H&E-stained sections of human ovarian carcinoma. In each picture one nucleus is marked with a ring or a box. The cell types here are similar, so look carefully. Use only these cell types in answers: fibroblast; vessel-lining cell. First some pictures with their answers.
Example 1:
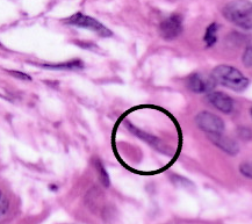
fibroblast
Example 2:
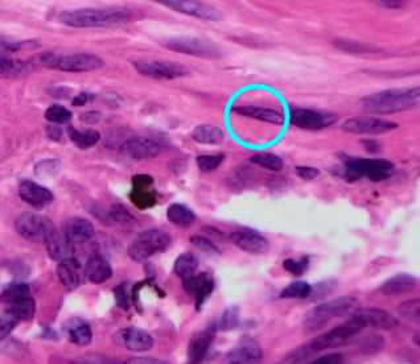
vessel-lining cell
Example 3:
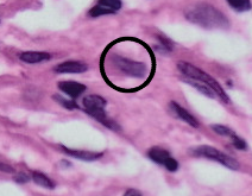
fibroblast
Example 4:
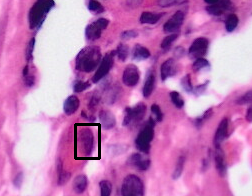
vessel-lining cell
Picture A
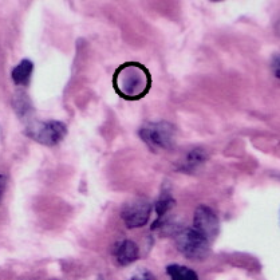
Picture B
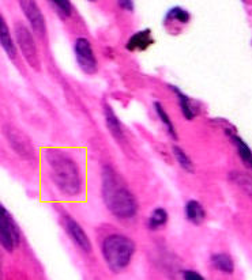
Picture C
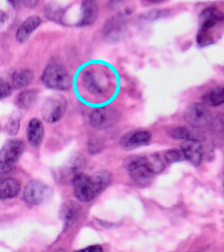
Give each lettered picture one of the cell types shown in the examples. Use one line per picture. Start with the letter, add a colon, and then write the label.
A: fibroblast
B: fibroblast
C: vessel-lining cell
